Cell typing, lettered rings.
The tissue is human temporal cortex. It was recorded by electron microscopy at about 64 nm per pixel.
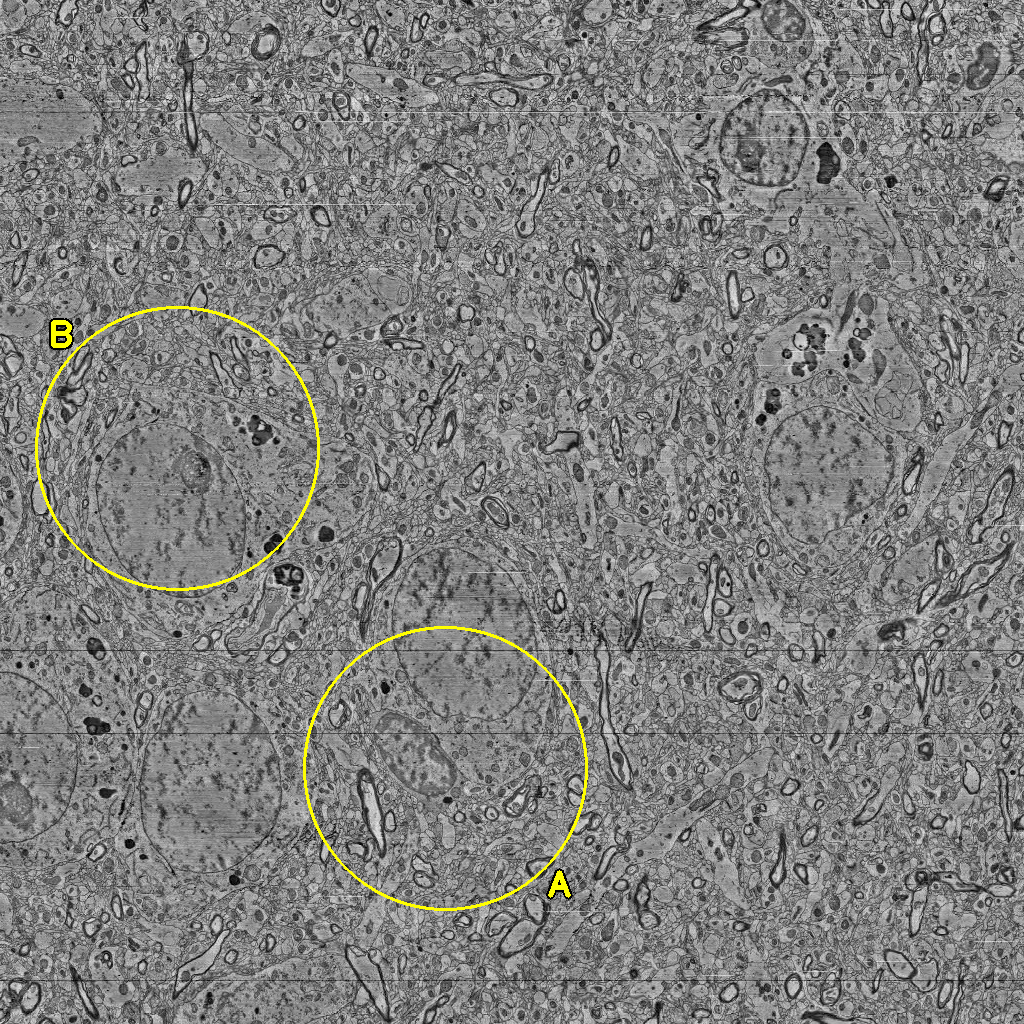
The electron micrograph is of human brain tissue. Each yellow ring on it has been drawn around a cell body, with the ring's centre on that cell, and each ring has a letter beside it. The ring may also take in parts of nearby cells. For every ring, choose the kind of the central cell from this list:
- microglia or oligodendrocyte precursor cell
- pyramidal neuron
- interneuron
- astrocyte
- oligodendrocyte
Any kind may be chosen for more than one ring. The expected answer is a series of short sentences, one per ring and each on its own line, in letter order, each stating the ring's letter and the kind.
For ring A, the centred cell is an oligodendrocyte.
For ring B, the centred cell is a pyramidal neuron.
